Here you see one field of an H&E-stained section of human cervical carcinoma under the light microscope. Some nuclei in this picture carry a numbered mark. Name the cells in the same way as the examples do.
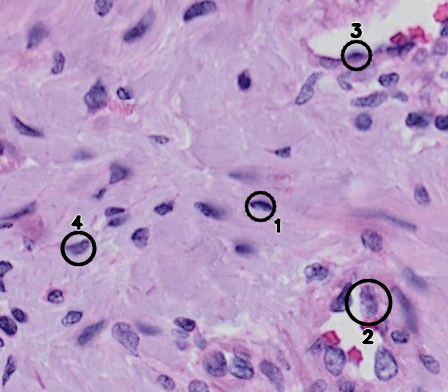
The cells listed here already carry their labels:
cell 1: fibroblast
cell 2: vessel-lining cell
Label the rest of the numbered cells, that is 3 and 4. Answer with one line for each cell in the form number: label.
3: vessel-lining cell
4: fibroblast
